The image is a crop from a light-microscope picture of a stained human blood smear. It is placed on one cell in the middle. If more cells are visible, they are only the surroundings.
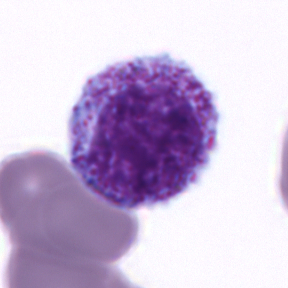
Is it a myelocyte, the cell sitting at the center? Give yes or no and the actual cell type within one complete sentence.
Yes, within this crop, the central cell is a myelocyte.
